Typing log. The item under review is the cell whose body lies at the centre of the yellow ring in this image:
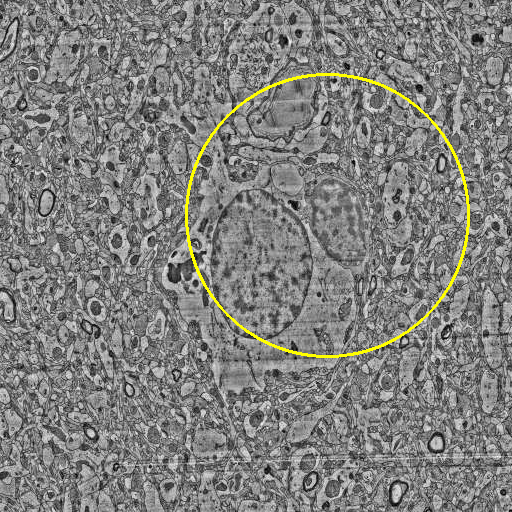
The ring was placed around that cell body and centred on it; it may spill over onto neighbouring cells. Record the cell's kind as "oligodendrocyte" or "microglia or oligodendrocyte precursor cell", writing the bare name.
oligodendrocyte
